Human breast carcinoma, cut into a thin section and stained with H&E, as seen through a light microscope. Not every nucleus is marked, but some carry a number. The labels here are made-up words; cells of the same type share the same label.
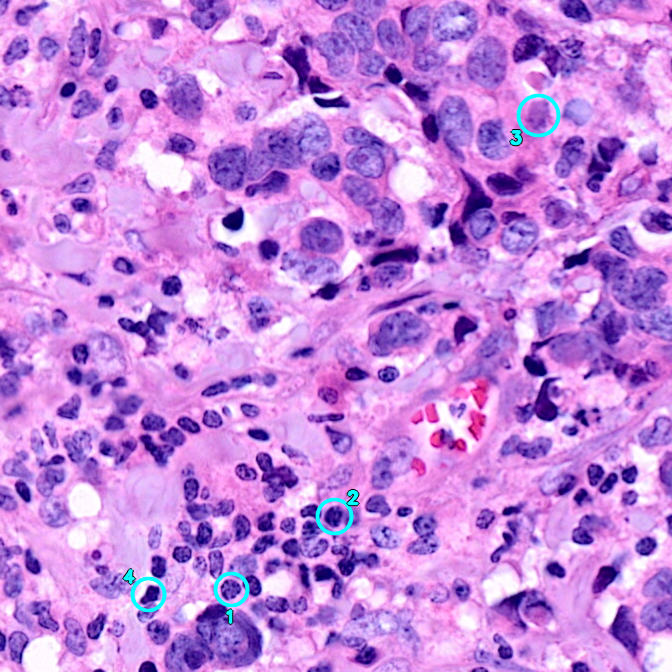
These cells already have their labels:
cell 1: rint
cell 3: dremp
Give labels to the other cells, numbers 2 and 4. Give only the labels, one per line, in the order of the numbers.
rint
rint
